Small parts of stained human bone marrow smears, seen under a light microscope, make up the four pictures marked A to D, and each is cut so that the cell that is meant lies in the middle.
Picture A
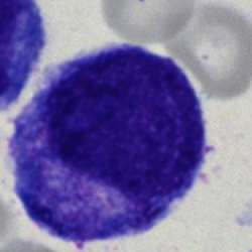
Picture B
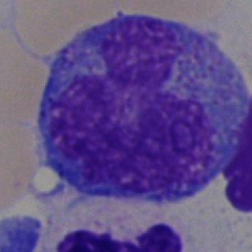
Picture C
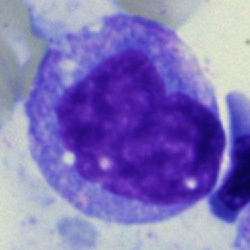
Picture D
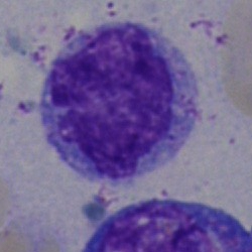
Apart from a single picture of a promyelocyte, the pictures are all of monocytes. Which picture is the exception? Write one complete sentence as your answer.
The picture with the promyelocyte is A.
